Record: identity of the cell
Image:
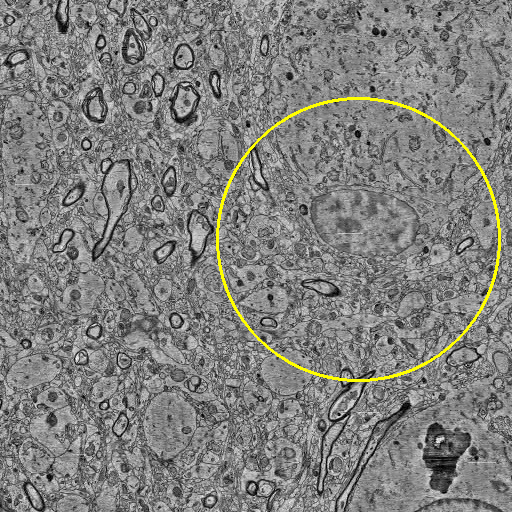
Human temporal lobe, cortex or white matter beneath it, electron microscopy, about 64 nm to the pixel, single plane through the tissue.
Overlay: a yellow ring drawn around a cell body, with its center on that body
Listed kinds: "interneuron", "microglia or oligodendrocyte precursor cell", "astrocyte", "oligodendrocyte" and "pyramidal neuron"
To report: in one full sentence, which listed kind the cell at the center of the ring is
In the image, the cell body at the ring's center belongs to an oligodendrocyte.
